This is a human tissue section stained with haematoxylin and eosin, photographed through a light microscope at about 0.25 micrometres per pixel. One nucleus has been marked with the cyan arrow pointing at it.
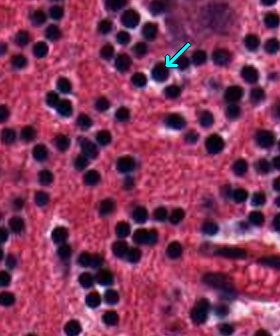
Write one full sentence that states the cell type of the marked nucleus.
What the marked nucleus belongs to is a cerebellar granule cell.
